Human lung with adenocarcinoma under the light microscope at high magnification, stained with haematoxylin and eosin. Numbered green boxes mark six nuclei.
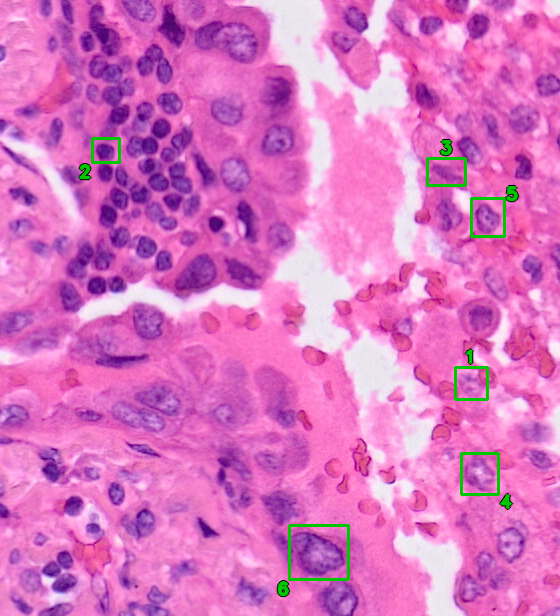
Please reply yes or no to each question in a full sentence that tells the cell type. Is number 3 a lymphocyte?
No, the cell given number 3 is a macrophage or monocyte, not a lymphocyte.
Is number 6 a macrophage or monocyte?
No, the cell indicated by 6 is a carcinoma cell instead of a macrophage or monocyte.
